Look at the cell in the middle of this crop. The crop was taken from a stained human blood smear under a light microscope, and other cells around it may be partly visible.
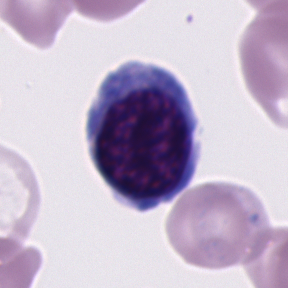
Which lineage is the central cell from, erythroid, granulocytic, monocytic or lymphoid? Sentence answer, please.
The lineage represented by the central cell is erythroid.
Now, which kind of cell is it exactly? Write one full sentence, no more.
The central cell shown in this smear crop is a normoblast.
